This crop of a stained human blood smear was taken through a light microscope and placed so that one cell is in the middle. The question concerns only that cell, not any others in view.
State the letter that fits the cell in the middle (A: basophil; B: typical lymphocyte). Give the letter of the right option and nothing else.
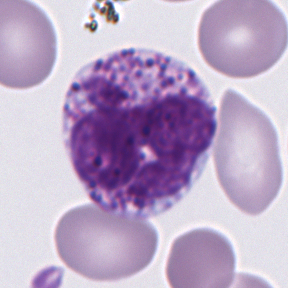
A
